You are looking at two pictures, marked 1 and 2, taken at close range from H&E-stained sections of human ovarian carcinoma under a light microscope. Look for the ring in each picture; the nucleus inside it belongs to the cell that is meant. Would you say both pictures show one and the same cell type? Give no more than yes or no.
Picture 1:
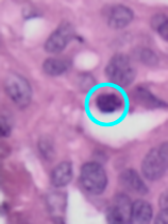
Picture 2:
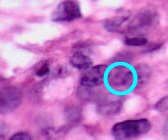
yes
